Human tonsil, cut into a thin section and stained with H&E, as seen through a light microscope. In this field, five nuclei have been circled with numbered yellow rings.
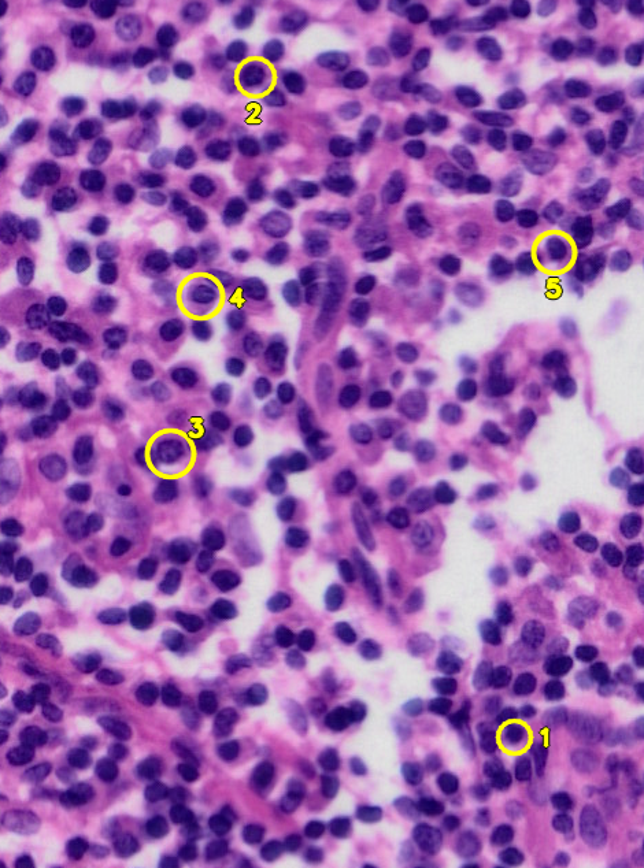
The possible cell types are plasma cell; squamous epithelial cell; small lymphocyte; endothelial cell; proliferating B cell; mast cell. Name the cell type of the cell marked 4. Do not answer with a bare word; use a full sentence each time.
Cell 4 of the marked set is a plasma cell.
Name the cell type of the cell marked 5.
The cell marked with number 5 is a small lymphocyte.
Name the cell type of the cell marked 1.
Heads up, the cell numbered 1 is a small lymphocyte.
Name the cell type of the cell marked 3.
The nucleus labeled 3 belongs to a plasma cell.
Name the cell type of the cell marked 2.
The nucleus labeled 2 belongs to a plasma cell.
